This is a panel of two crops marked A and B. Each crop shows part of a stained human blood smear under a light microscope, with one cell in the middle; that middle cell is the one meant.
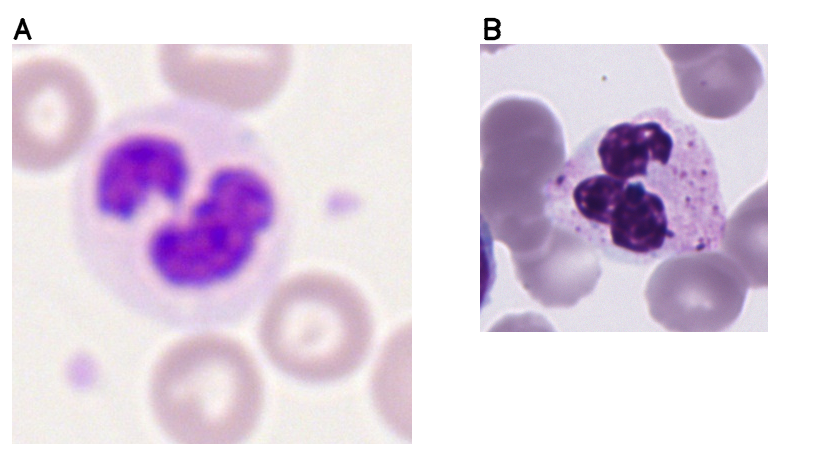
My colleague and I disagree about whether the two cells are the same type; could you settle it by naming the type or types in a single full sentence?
Yes, the cells at the centres of the two crops are segmented neutrophils.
